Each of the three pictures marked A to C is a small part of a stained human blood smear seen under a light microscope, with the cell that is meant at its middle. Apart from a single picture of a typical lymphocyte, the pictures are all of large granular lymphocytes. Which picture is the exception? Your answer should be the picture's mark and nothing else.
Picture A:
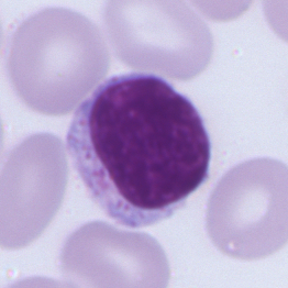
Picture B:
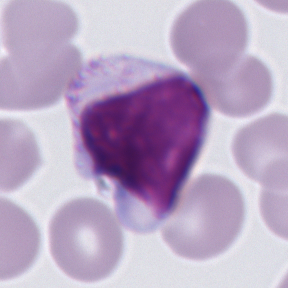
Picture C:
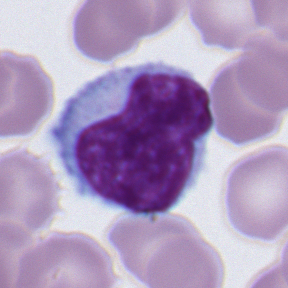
C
